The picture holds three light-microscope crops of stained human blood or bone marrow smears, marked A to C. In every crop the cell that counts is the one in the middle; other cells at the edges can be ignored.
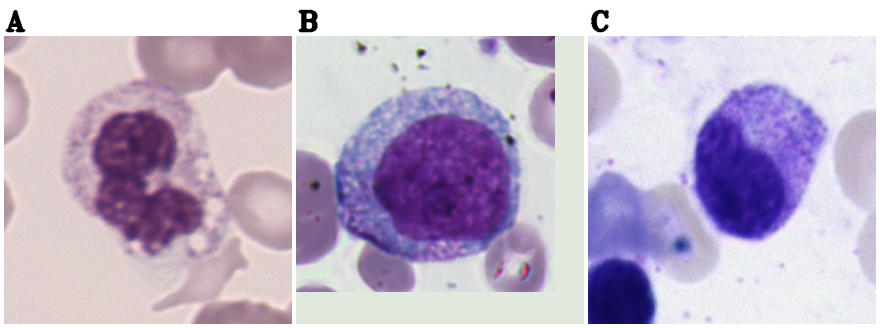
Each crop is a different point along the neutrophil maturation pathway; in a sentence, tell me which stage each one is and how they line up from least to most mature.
From least mature through to most mature, the order is crop B (a promyelocyte), crop C (a metamyelocyte) and crop A (a segmented neutrophil).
